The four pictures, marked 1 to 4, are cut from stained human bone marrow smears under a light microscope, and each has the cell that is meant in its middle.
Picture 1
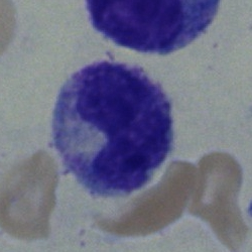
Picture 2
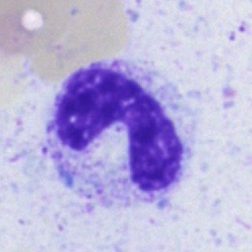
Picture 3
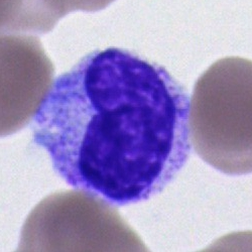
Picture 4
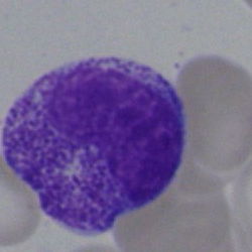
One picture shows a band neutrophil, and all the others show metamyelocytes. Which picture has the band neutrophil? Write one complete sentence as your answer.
Picture 2 is the one that shows the band neutrophil.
